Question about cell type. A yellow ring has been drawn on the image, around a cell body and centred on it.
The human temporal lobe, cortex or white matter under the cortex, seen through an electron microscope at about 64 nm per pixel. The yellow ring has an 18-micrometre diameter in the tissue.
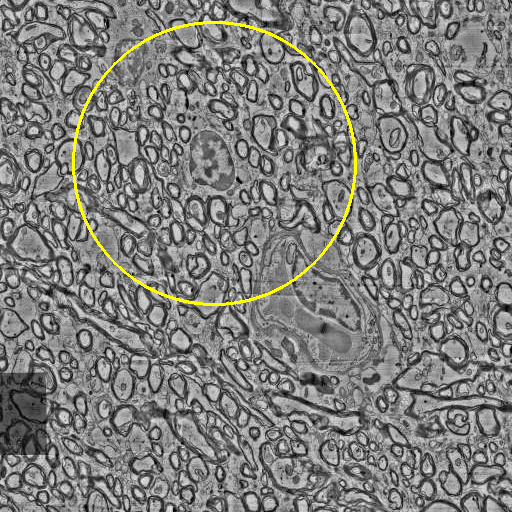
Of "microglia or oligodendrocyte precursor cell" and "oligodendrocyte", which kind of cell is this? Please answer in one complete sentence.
At the centre of the ring lies a microglial cell or oligodendrocyte precursor cell.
